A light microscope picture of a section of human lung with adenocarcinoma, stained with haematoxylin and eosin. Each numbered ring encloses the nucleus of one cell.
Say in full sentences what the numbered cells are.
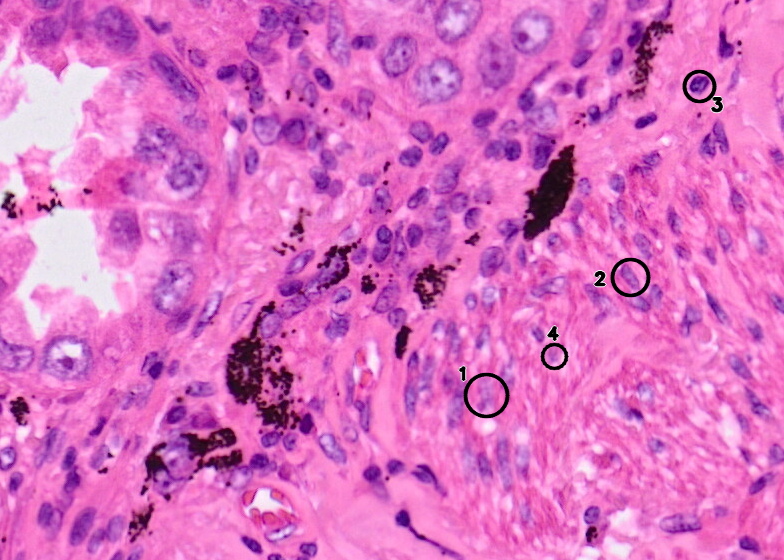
Cells 1, 2 and 4 are smooth muscle cells or pericytes. Cell 3 is a lymphocyte.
